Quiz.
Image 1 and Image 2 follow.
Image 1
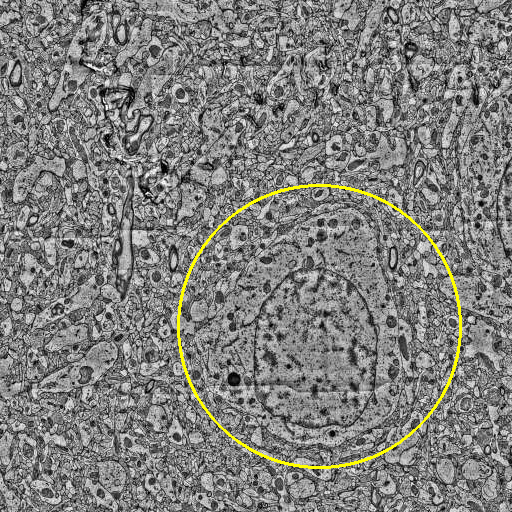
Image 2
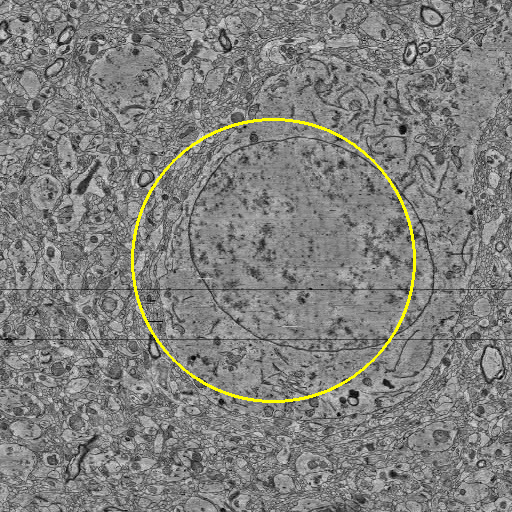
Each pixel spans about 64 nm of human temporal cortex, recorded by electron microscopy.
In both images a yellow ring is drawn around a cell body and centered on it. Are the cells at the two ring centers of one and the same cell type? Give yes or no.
yes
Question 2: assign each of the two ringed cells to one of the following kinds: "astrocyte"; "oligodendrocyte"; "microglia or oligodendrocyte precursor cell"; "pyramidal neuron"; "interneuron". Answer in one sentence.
Each of the two pictures has a pyramidal neuron at the ring centre.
